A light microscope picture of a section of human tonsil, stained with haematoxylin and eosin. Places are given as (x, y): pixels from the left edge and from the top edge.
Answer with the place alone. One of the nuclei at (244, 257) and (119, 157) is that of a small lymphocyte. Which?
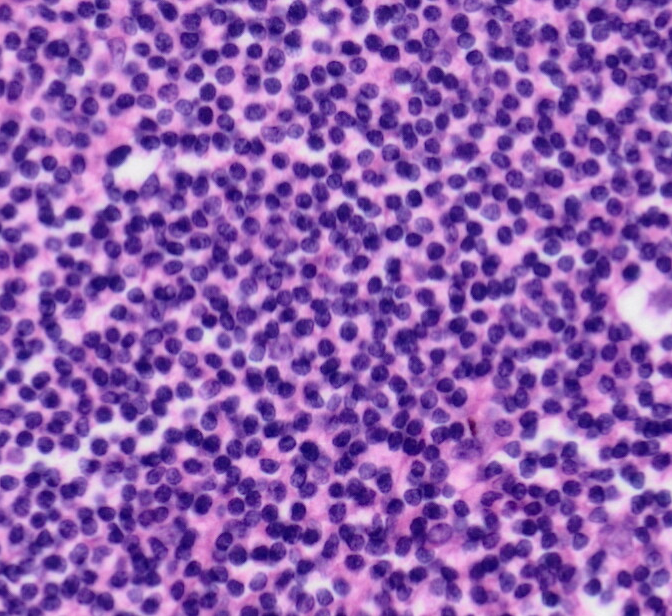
(244, 257)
